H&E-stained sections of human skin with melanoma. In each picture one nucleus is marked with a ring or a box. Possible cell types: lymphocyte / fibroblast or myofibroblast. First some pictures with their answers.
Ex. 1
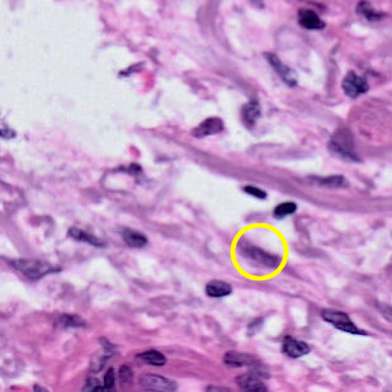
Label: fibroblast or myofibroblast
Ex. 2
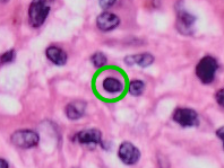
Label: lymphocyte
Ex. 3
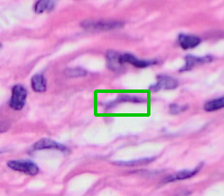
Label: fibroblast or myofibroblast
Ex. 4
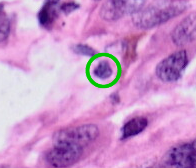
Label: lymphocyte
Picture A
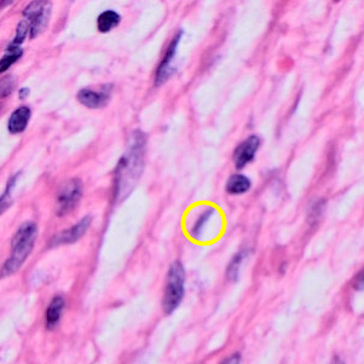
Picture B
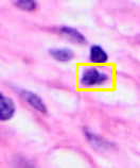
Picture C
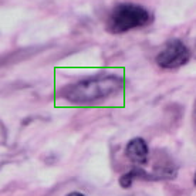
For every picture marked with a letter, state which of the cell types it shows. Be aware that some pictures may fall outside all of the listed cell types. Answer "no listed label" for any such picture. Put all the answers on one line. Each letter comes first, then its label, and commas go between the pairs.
A fibroblast or myofibroblast, B lymphocyte, C fibroblast or myofibroblast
